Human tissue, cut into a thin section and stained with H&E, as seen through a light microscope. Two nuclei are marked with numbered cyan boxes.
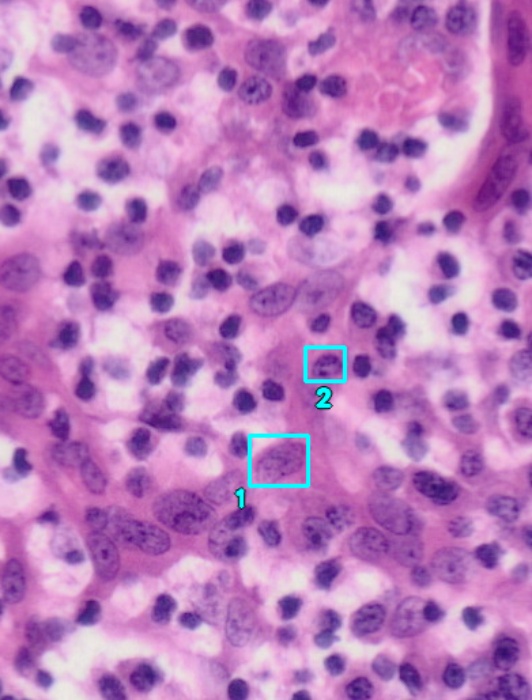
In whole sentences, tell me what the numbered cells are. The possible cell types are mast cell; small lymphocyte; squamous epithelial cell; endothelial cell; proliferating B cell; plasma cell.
Cell 1 is a squamous epithelial cell. Cell 2 is a plasma cell.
